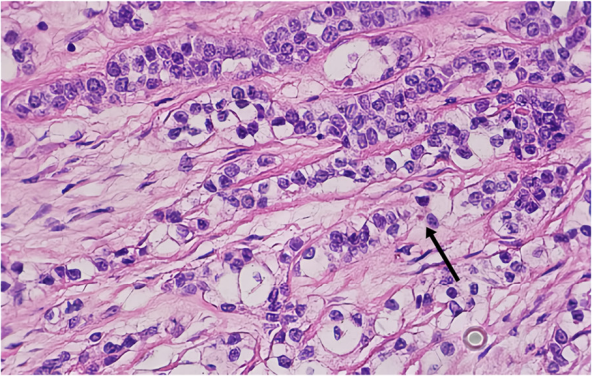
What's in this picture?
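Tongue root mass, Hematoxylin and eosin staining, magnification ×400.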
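Cancer cells lie in nests and cords within a pale pink fibrous interstitium. Their nuclei are round to oval, purple and fairly uniform, and many cells have clear or pale cytoplasm.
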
